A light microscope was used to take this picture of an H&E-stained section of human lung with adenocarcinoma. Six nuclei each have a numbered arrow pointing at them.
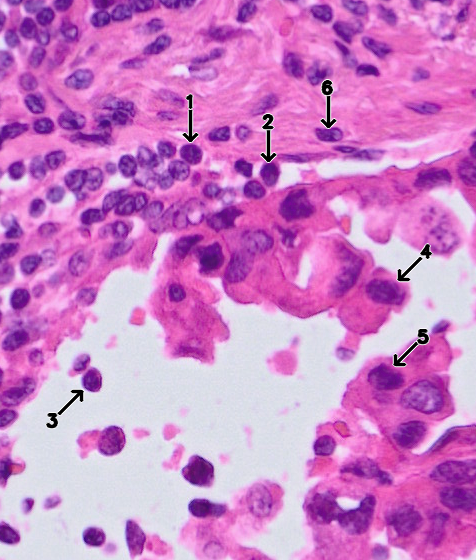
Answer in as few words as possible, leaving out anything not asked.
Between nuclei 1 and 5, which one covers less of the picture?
1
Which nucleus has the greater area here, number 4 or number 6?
4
